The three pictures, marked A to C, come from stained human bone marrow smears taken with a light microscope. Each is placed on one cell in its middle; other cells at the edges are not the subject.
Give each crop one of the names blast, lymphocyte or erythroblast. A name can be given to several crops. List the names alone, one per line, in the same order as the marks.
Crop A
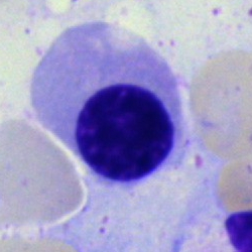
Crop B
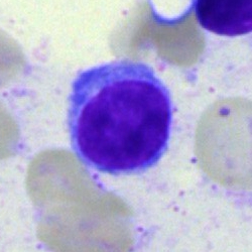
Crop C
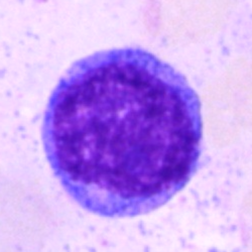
erythroblast
lymphocyte
blast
